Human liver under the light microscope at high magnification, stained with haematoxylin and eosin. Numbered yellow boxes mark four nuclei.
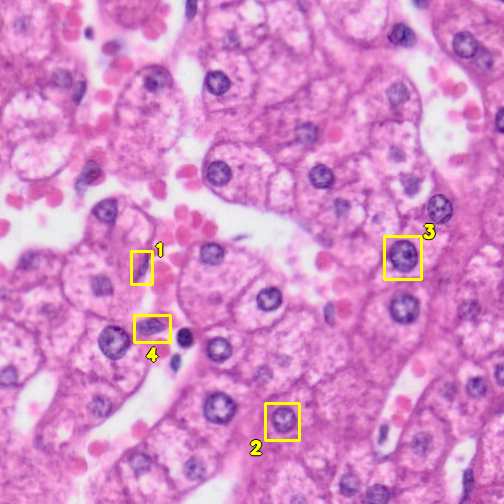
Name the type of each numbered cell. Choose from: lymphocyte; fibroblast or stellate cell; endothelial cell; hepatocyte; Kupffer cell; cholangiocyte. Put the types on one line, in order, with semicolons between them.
endothelial cell; hepatocyte; hepatocyte; Kupffer cell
